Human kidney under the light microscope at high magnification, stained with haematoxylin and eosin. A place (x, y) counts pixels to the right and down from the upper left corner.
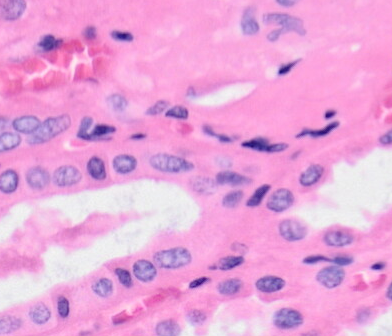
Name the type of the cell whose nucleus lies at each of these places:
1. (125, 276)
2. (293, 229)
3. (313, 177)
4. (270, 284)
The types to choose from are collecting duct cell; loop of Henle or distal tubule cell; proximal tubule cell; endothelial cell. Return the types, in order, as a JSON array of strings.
["collecting duct cell", "loop of Henle or distal tubule cell", "loop of Henle or distal tubule cell", "loop of Henle or distal tubule cell"]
